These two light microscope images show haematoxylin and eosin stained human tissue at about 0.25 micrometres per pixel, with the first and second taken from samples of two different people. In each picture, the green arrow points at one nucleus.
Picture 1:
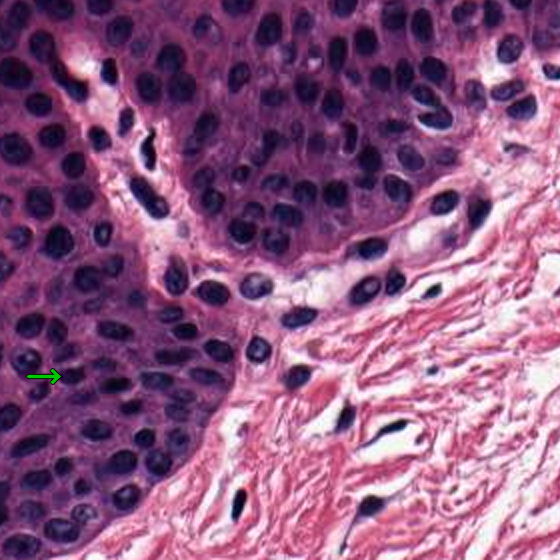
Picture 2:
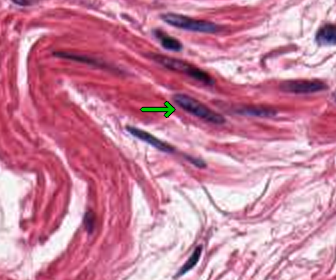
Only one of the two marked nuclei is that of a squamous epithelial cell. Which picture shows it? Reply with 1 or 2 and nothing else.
1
